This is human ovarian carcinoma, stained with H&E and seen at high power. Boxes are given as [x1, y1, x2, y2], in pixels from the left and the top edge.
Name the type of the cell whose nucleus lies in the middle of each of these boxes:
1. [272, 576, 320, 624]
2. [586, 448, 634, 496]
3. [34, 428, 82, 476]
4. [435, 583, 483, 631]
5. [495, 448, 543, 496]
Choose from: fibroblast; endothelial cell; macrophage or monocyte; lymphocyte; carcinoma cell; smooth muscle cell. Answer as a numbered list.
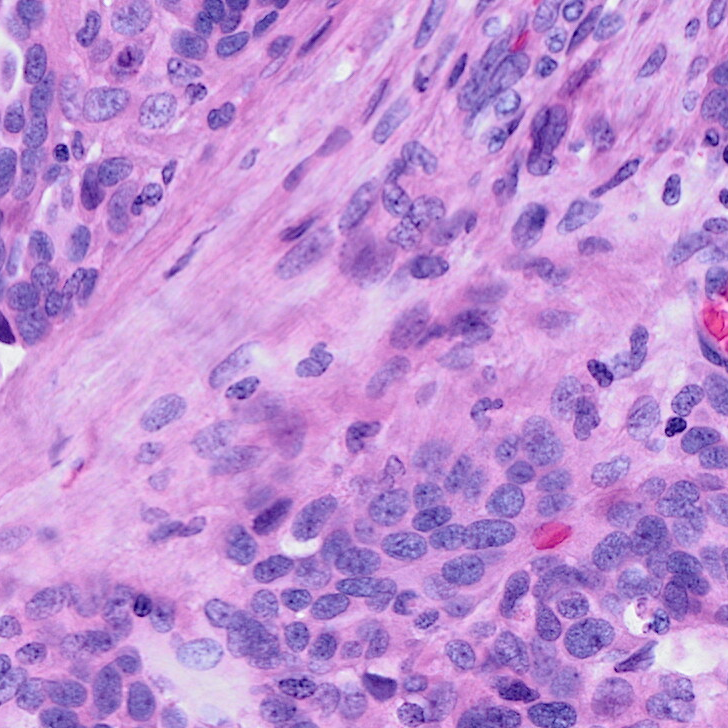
1. carcinoma cell
2. fibroblast
3. fibroblast
4. carcinoma cell
5. carcinoma cell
